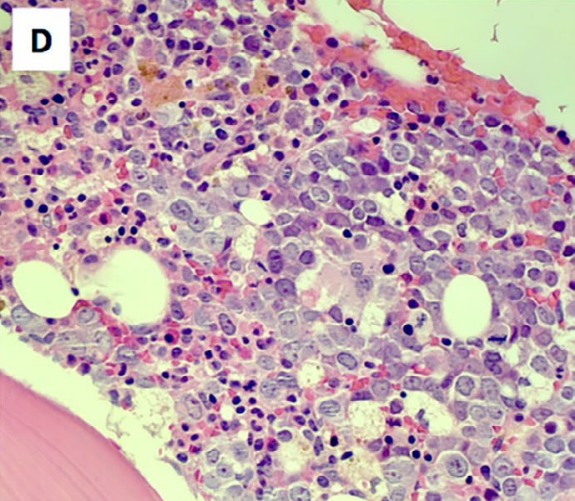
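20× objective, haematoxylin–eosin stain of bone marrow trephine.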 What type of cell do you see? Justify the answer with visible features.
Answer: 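Sheets of large cells with large pale oval nuclei. Visible nucleoli within many nuclei. Scattered small dark nuclei of other marrow cells between them. So: atypical large blast cells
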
